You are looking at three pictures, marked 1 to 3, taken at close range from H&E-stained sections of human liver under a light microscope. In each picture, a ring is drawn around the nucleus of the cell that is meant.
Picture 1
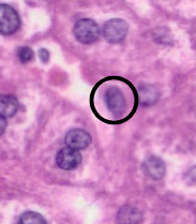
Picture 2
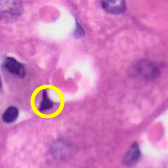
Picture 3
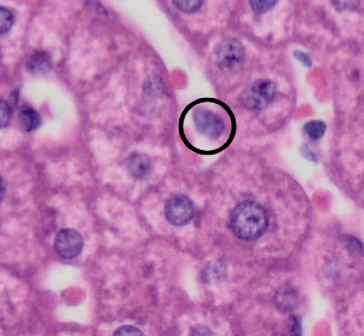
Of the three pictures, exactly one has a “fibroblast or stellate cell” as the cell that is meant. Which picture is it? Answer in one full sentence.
Picture 2 shows the “fibroblast or stellate cell”.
